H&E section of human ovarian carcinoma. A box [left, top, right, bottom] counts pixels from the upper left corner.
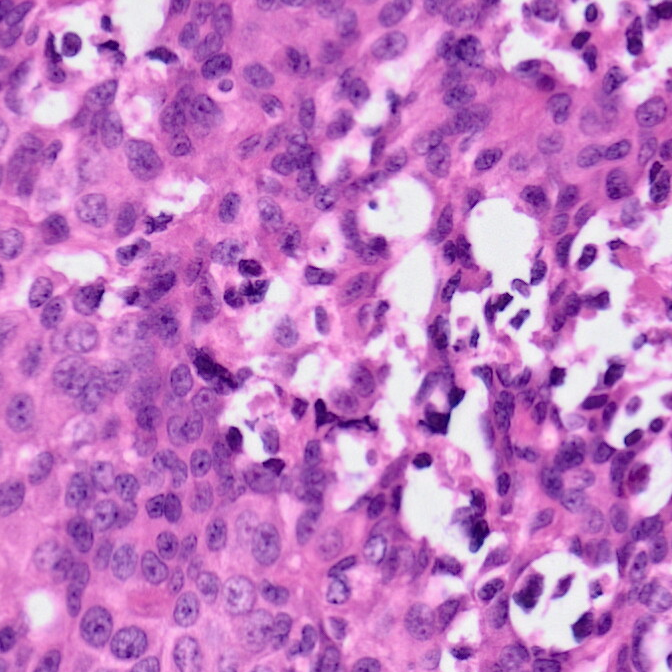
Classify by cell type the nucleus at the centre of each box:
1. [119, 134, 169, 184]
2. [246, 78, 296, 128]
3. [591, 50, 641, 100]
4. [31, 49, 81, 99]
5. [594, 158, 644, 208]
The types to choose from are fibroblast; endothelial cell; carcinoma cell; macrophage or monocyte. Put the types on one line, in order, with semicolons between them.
carcinoma cell; endothelial cell; macrophage or monocyte; macrophage or monocyte; carcinoma cell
